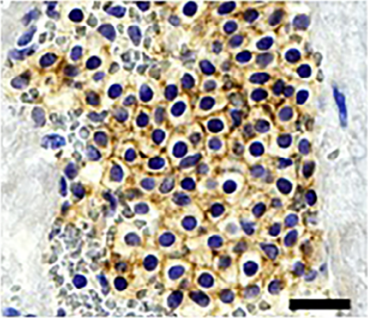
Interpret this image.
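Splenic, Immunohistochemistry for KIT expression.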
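This is a mast cell tumour seen as a dense sheet of round neoplastic cells. The cells are closely packed and fairly uniform, each with a single round, dark blue nucleus set roughly in the centre. The cytoplasm is moderate in amount, and brown stain follows the cell borders so that the cells appear outlined in a network-like pattern. At the left edge lie many small, pale grey-green red blood cells, and paler connective tissue borders the sheet on the right.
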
